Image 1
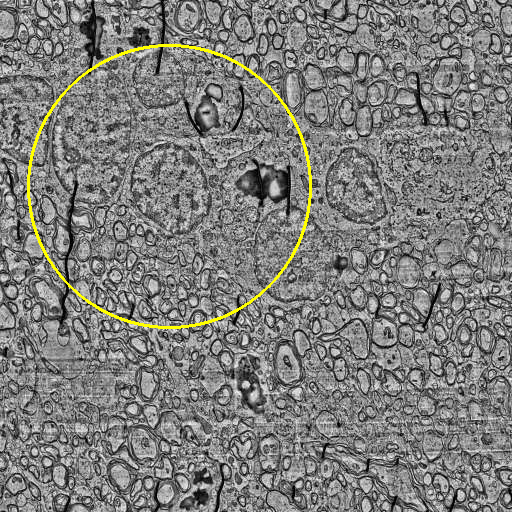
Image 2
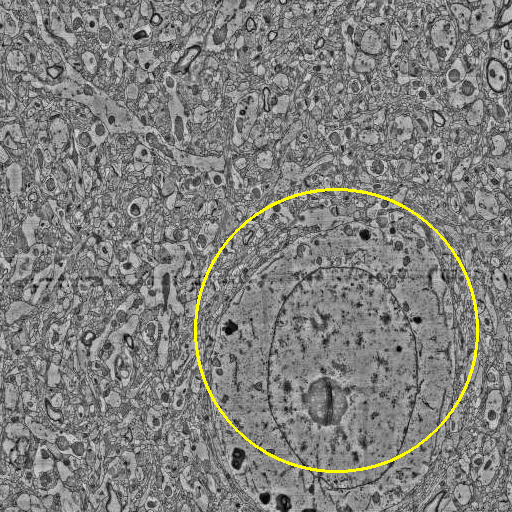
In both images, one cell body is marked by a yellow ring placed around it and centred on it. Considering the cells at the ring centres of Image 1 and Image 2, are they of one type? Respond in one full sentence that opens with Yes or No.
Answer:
No, two types apply to the ring-centred cells of Image 1 and Image 2.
